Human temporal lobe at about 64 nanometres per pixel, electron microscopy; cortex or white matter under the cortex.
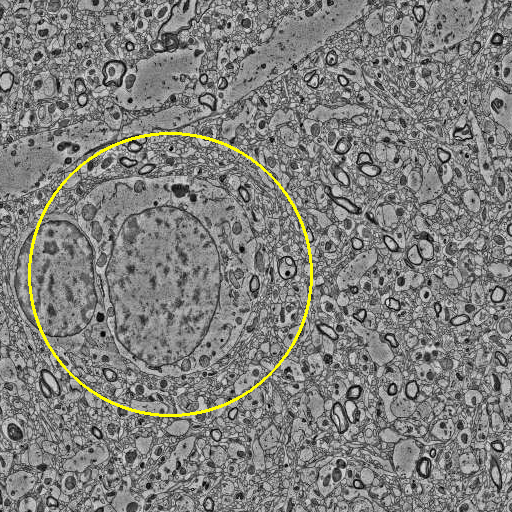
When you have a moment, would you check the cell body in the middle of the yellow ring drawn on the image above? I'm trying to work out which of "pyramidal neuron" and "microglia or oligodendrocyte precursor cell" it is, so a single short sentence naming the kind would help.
This cell body belongs to a pyramidal neuron.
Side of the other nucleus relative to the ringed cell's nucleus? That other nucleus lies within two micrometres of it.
The second nucleus sits to the left of it.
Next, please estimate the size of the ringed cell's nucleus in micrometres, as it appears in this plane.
Approximately 10 micrometres long and 8 micrometres wide, in this plane.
